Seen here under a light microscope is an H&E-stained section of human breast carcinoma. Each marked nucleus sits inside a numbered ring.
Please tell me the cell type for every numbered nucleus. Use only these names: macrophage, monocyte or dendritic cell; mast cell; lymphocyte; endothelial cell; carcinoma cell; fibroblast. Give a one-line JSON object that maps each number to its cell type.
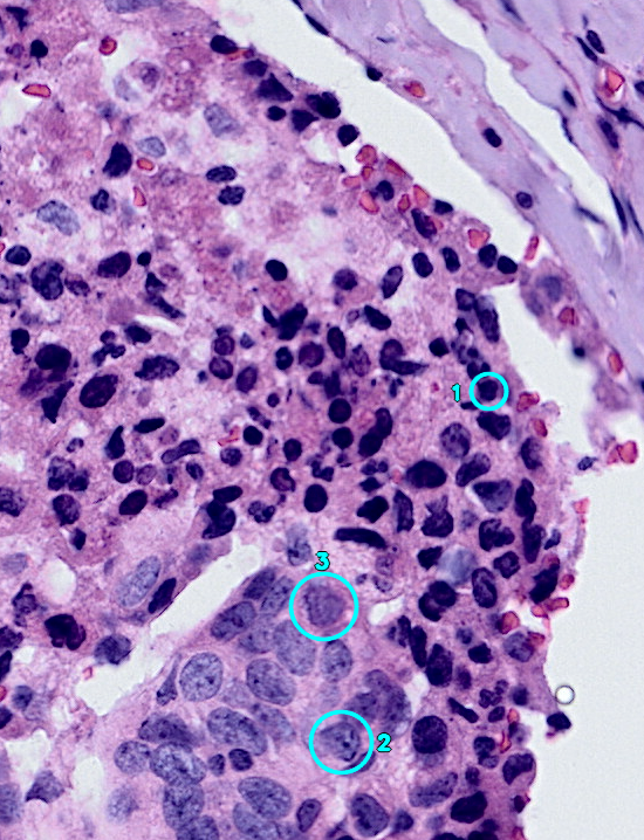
{"1": "lymphocyte", "2": "carcinoma cell", "3": "carcinoma cell"}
